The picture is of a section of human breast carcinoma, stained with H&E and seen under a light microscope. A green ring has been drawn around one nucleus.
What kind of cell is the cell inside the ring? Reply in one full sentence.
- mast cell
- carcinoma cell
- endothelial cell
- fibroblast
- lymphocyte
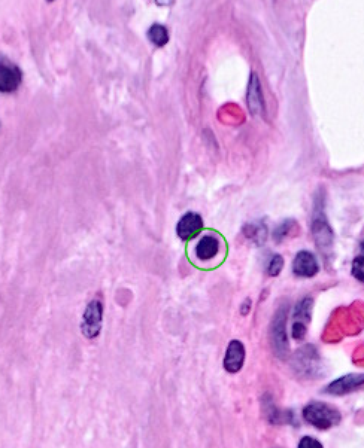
In the stained section, the cell inside the ring is a lymphocyte.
